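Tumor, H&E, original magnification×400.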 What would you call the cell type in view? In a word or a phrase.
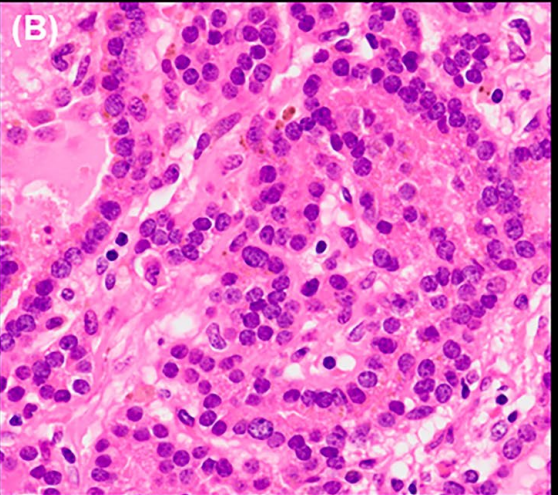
Epithelial cells.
